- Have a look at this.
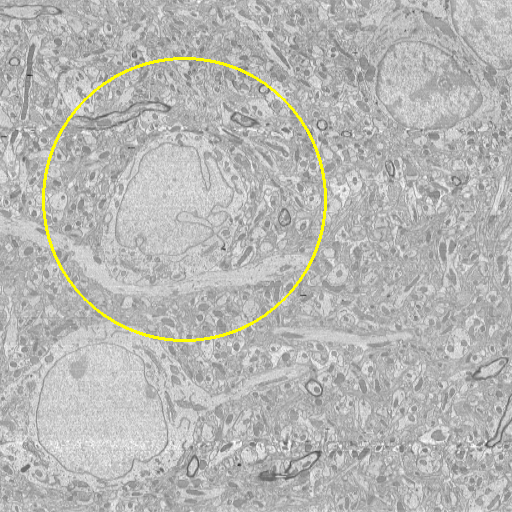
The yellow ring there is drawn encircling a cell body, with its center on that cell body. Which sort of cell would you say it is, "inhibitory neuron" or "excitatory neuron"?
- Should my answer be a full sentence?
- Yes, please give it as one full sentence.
For this picture, an inhibitory neuron is the cell where the yellow ring has its center.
